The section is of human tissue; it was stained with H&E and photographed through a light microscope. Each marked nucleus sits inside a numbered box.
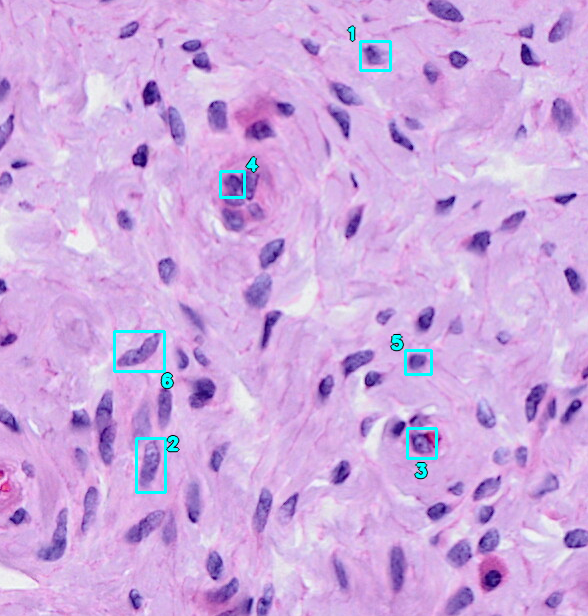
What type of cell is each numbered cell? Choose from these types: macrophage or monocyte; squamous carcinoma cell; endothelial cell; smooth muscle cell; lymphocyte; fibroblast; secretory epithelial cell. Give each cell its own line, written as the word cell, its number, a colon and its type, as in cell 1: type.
cell 1: fibroblast
cell 2: fibroblast
cell 3: endothelial cell
cell 4: endothelial cell
cell 5: fibroblast
cell 6: fibroblast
